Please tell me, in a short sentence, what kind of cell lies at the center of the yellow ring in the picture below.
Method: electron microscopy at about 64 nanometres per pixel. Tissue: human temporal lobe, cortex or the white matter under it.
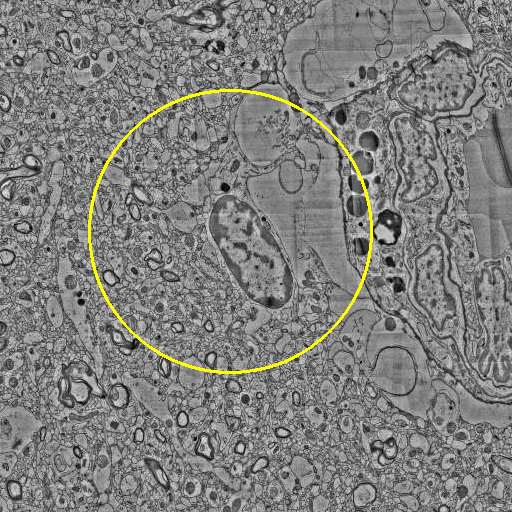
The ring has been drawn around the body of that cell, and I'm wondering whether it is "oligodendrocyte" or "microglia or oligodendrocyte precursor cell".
The cell at the center of the ring is a microglial cell or oligodendrocyte precursor cell.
